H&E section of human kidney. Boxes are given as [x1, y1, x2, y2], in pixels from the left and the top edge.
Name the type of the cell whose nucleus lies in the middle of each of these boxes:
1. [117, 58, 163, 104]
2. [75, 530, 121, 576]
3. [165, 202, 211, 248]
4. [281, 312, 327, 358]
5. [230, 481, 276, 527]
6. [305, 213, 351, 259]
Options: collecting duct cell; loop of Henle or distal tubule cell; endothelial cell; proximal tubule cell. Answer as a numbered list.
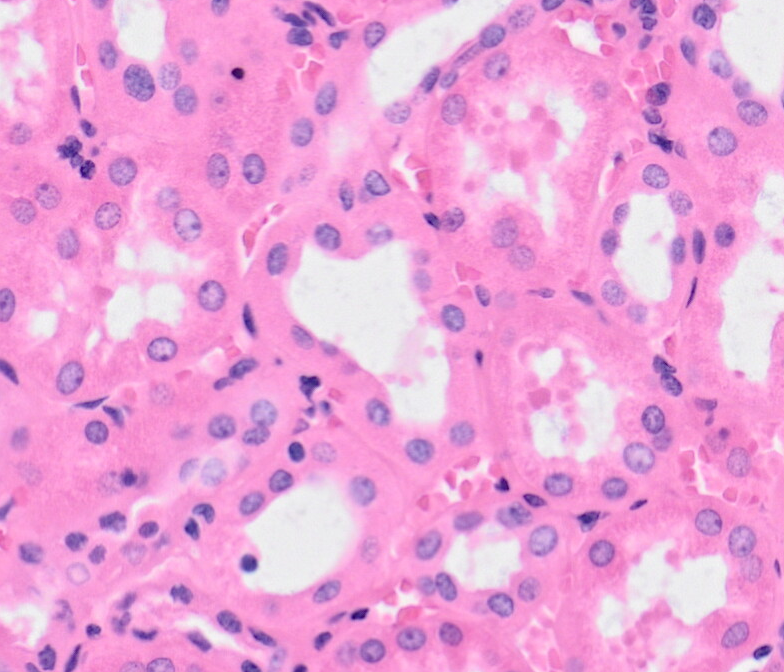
1. loop of Henle or distal tubule cell
2. collecting duct cell
3. proximal tubule cell
4. loop of Henle or distal tubule cell
5. loop of Henle or distal tubule cell
6. loop of Henle or distal tubule cell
